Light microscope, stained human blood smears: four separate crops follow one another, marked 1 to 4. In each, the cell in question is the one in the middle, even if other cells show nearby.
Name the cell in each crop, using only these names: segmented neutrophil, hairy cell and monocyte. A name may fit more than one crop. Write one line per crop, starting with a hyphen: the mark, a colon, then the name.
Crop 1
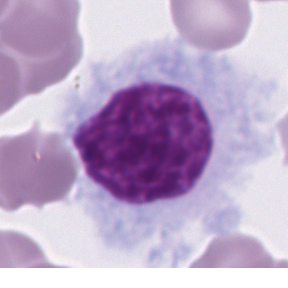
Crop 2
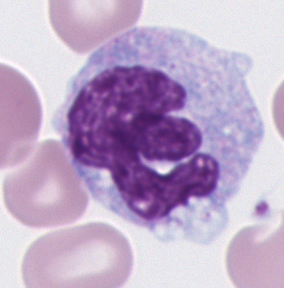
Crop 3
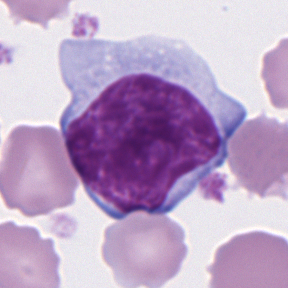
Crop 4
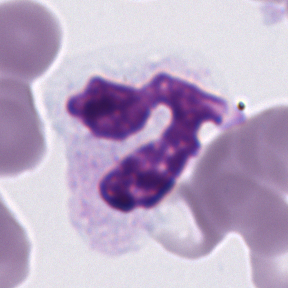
- 1: hairy cell
- 2: monocyte
- 3: monocyte
- 4: segmented neutrophil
